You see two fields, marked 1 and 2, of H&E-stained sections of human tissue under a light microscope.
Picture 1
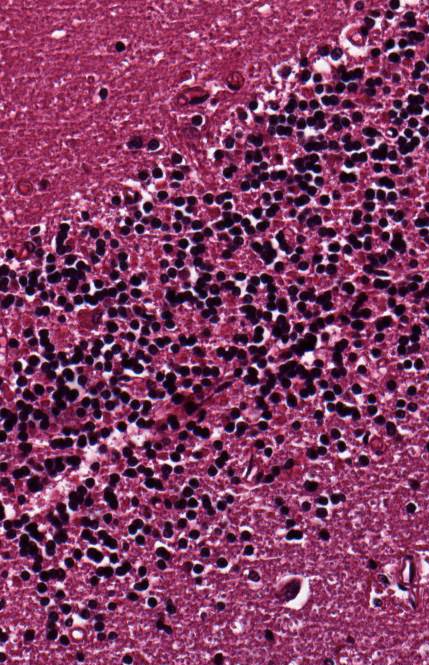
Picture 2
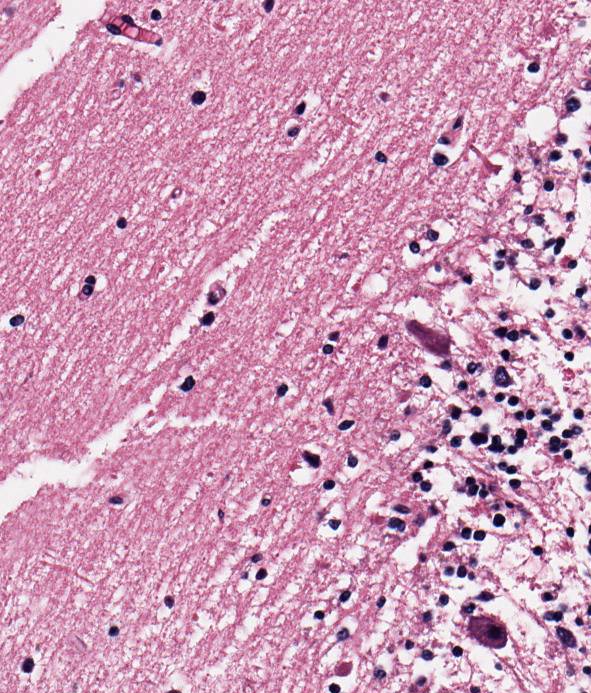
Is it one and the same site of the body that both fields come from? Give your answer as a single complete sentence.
Yes, they come from the same site of the body: both come from the cerebellum.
